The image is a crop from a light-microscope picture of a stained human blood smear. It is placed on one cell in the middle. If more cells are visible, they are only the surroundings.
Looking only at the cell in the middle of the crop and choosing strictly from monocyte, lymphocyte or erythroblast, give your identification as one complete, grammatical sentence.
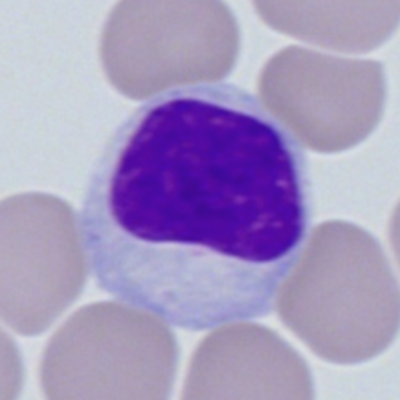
The cell at the heart of this crop is a lymphocyte.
